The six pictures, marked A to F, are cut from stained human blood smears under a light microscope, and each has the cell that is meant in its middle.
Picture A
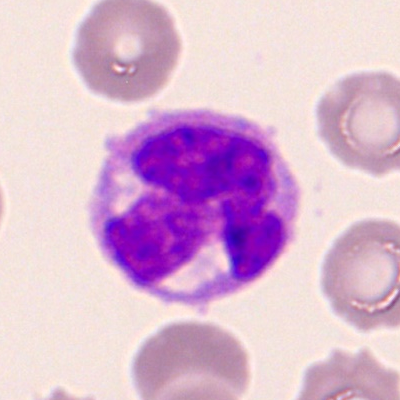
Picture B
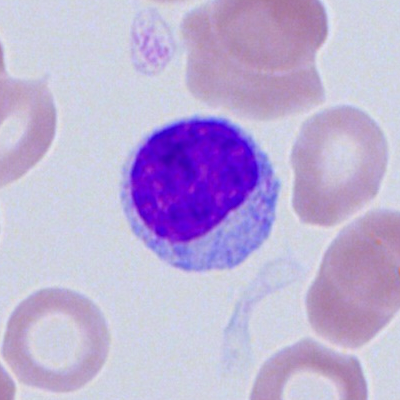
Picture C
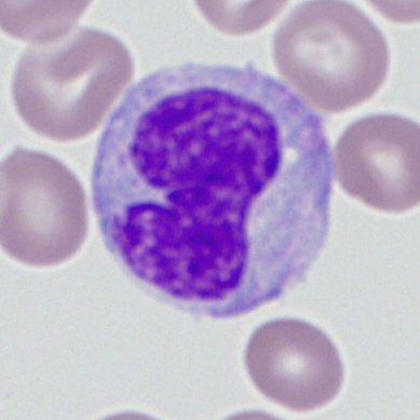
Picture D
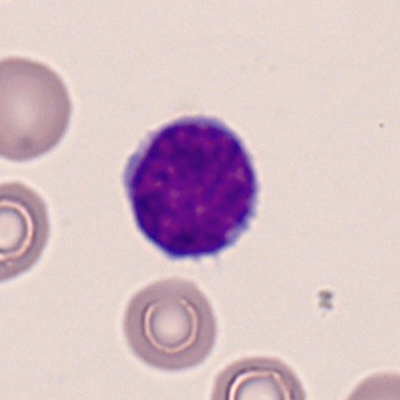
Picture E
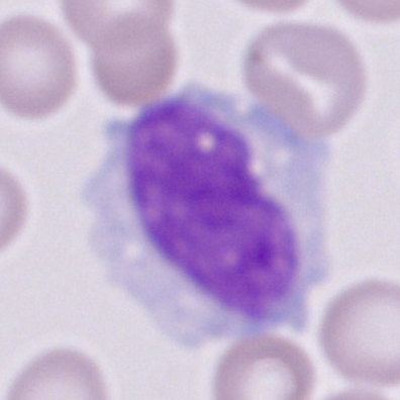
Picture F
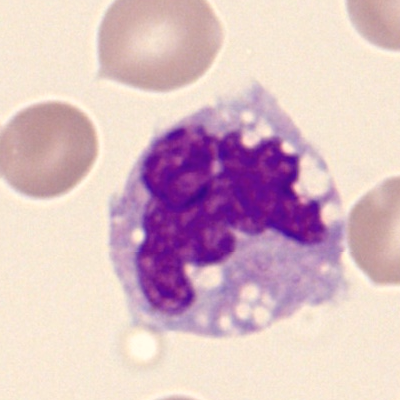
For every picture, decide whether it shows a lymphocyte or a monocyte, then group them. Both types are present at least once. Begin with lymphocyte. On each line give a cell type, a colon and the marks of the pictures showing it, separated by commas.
lymphocyte: B, D
monocyte: A, C, E, F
